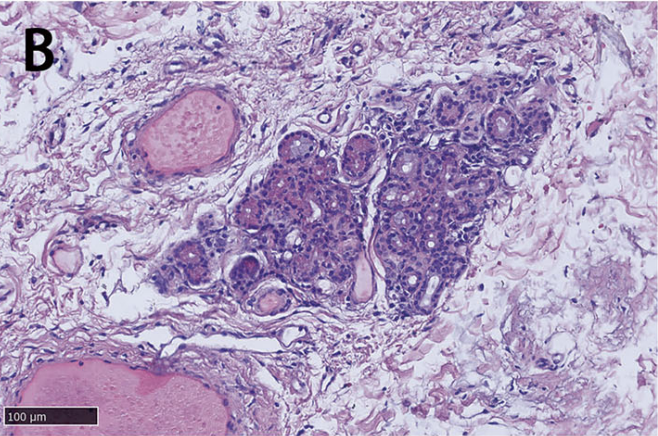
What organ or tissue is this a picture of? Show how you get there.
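Glandular tissue. A compact cluster of small rounded units of epithelial cells with tiny central lumens. The cluster lies in loose pink connective tissue.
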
